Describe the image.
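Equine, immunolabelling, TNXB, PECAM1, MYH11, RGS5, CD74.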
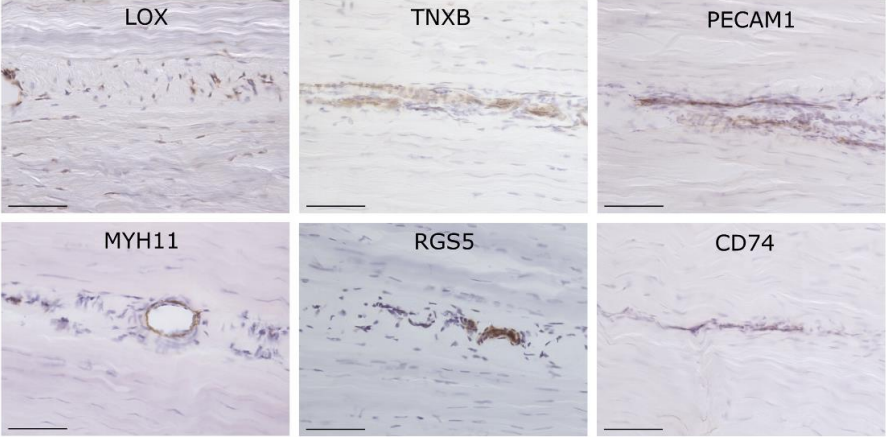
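Six longitudinal sections of tendon show pale, parallel collagen fibres with sparse, thin, elongated cells whose dark nuclei line up along the fibres. In several images a narrower band of more crowded cells runs lengthwise between fibre bundles, the interfascicular region. In one image elongated cells scattered through the fibres carry brown label. In others the brown label is confined to cells within this band.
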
